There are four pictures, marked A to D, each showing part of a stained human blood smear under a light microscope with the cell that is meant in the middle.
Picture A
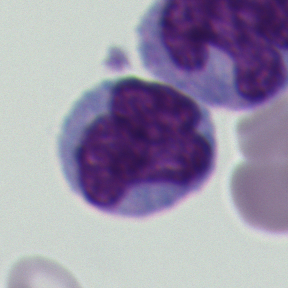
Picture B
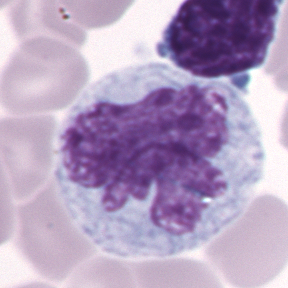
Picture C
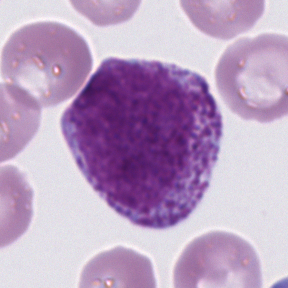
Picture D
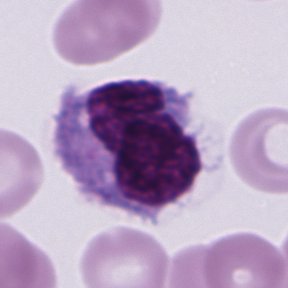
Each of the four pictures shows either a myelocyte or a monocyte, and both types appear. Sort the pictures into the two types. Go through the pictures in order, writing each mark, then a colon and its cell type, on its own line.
A: monocyte
B: monocyte
C: myelocyte
D: monocyte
